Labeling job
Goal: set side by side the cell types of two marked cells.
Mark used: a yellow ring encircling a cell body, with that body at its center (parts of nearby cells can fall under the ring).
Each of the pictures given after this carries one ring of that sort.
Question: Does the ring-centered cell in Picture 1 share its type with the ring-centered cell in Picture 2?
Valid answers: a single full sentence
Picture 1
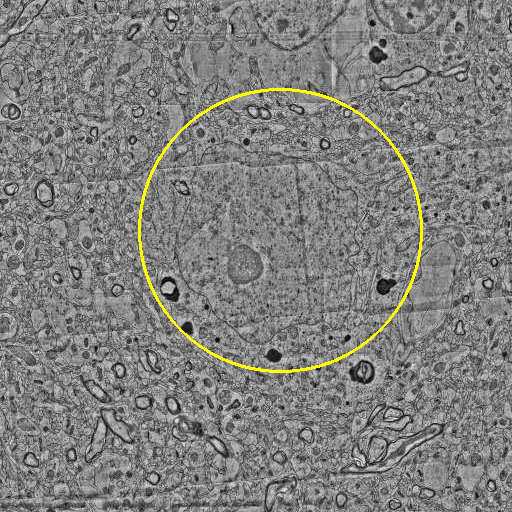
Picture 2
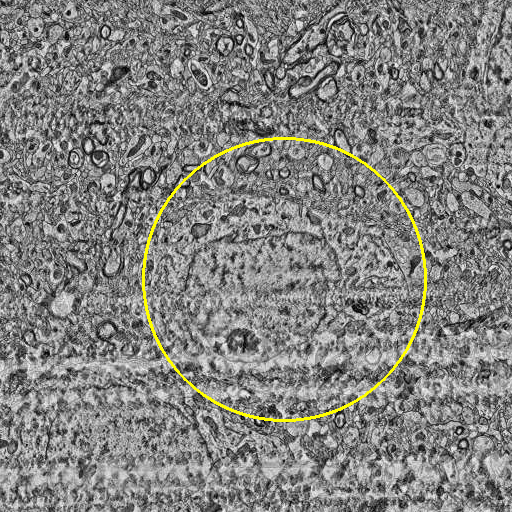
Yes, in Pictures 1 and 2 the cells at the ring centers share one type.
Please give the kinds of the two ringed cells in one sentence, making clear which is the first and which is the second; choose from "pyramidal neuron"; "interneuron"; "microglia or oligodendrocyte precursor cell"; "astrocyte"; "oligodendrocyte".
In both pictures the ring is centred on a pyramidal neuron.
